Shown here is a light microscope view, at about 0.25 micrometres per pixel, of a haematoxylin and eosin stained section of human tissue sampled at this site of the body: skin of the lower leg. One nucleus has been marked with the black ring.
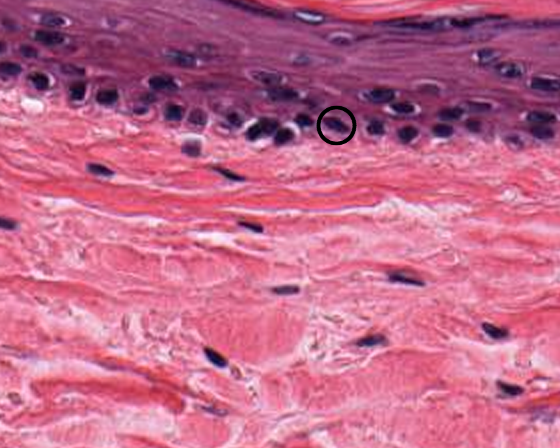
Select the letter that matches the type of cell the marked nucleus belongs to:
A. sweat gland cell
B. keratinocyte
B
